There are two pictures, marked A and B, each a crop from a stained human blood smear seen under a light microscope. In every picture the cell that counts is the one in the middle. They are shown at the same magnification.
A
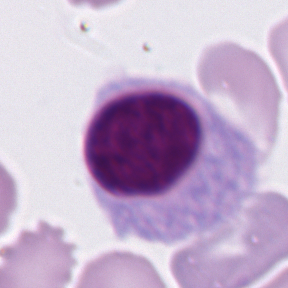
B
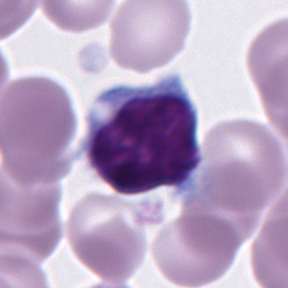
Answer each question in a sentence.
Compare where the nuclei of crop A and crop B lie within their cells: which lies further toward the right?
The nucleus in crop B lies further toward the right of its cell.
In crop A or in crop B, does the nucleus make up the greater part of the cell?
It is the cell in crop B that is filled more by its nucleus.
